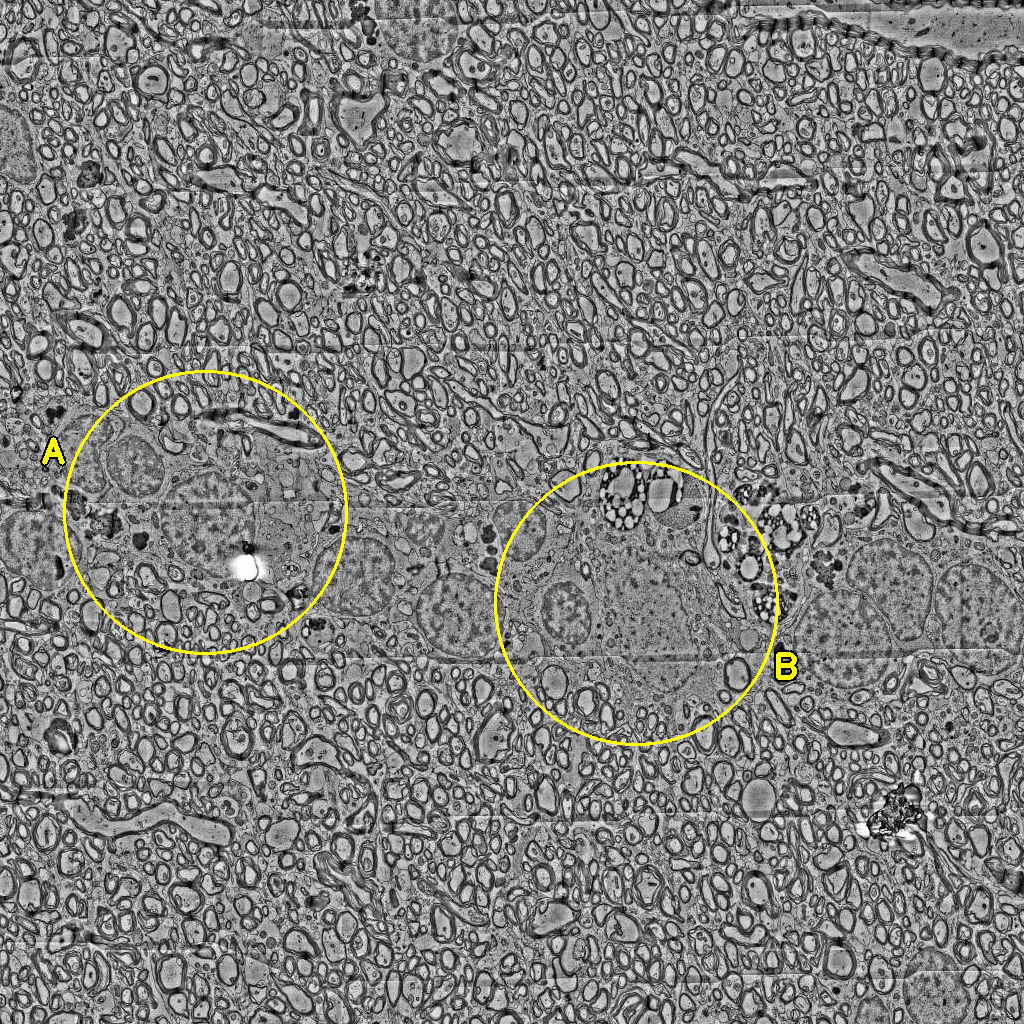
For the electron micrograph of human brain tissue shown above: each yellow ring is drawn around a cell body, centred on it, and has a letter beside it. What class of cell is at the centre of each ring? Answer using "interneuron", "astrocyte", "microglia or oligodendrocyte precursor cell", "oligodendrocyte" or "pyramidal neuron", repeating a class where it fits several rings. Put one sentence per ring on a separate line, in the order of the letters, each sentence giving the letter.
At ring A, the central cell is an oligodendrocyte.
At ring B, the central cell is an astrocyte.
